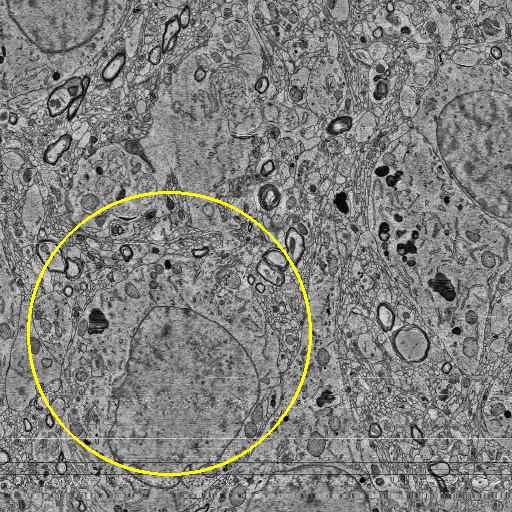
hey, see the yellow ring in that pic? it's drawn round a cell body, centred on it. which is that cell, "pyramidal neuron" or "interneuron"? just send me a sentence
The cell in the ring is a pyramidal neuron.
